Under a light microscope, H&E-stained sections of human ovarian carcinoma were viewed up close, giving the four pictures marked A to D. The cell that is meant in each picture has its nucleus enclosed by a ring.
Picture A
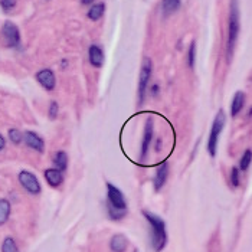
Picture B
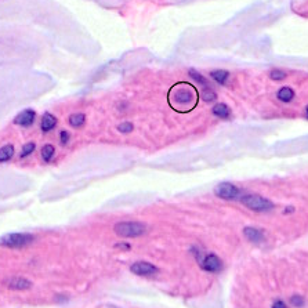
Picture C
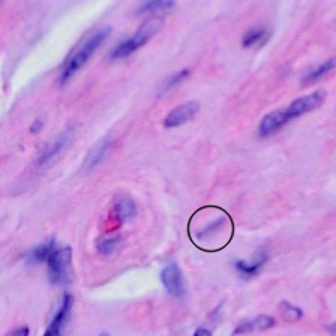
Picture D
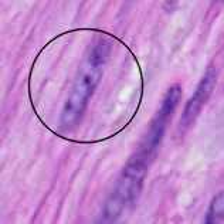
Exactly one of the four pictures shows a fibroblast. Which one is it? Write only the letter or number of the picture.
D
